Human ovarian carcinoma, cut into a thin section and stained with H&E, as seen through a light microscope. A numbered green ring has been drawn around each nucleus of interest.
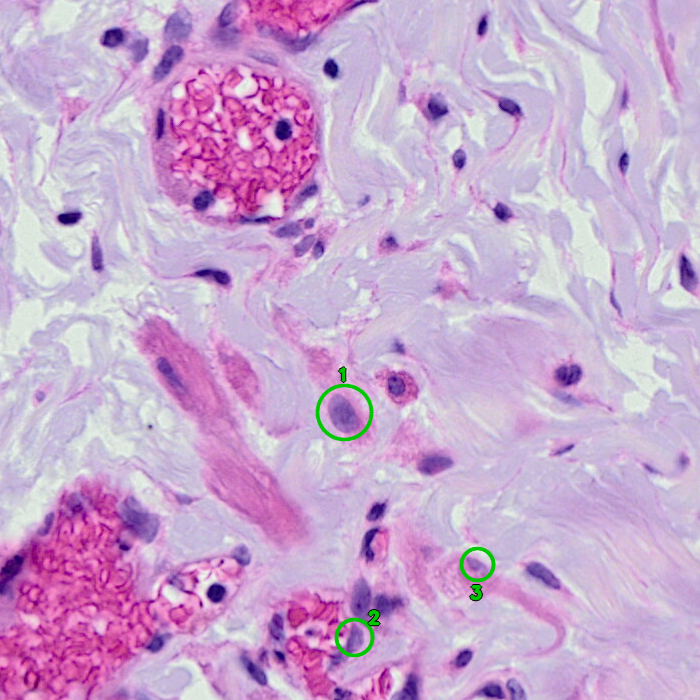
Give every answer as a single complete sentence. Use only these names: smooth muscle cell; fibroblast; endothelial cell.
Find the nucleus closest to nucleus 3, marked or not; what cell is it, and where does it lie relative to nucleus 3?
Lying to the right of nucleus 3, the nearest nucleus is that of a fibroblast.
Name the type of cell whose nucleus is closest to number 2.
It is an endothelial cell whose nucleus is nearest to number 2.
